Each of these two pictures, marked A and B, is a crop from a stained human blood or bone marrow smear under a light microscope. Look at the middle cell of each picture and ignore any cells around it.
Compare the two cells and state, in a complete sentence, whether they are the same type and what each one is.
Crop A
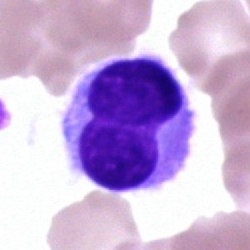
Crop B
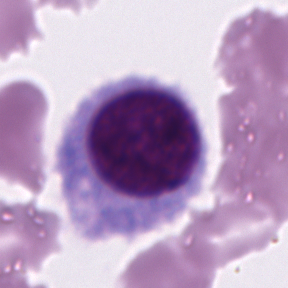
Yes, both crops show hairy cells, the one and the other.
